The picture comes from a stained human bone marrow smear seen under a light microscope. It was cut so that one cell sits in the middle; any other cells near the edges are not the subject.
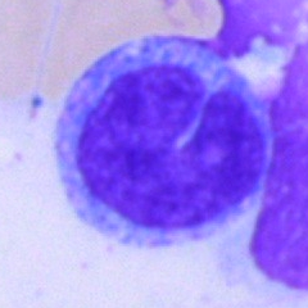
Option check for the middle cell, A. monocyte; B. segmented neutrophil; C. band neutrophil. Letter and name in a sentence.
Option A gets it right: the cell in the middle is a monocyte.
